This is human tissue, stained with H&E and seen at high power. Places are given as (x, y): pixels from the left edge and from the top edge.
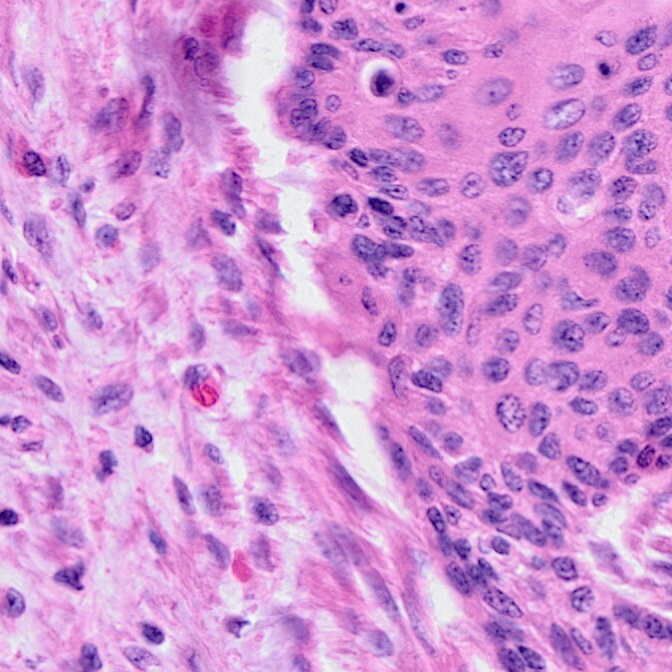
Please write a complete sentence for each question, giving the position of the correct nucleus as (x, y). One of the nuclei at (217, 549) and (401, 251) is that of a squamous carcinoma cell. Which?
Identify the nucleus at (401, 251) as the one belonging to a squamous carcinoma cell.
